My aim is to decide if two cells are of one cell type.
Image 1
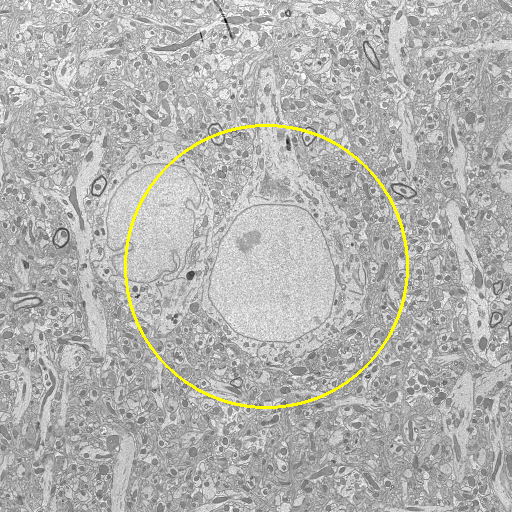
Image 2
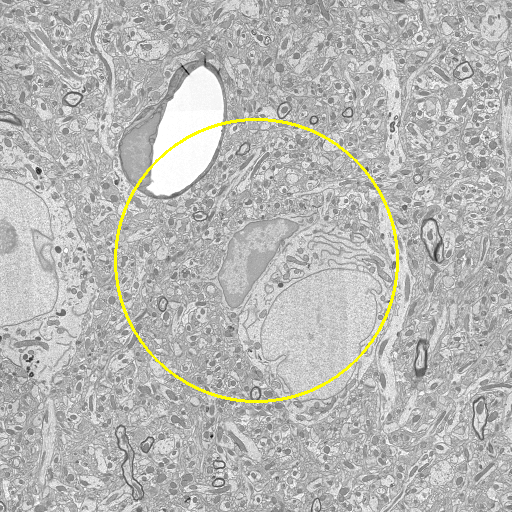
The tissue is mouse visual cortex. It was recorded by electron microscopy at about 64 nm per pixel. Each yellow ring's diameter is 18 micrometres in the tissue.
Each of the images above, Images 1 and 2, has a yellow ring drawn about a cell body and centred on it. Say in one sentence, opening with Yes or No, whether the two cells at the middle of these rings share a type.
No, in Images 1 and 2 the cells at the middle of the rings fall into two types.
